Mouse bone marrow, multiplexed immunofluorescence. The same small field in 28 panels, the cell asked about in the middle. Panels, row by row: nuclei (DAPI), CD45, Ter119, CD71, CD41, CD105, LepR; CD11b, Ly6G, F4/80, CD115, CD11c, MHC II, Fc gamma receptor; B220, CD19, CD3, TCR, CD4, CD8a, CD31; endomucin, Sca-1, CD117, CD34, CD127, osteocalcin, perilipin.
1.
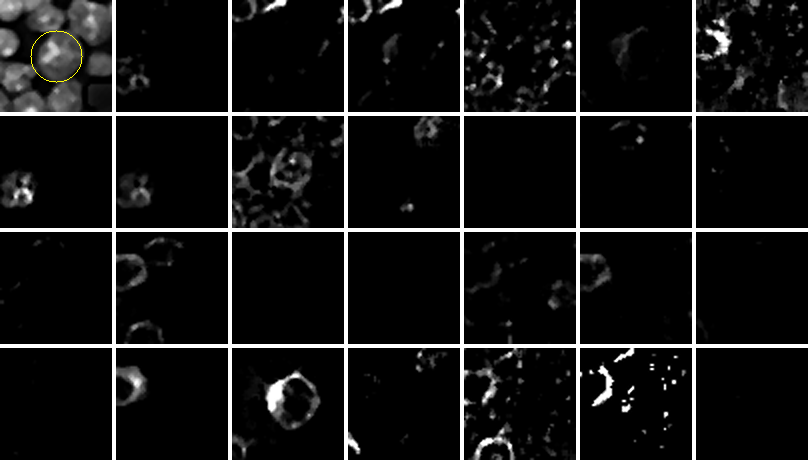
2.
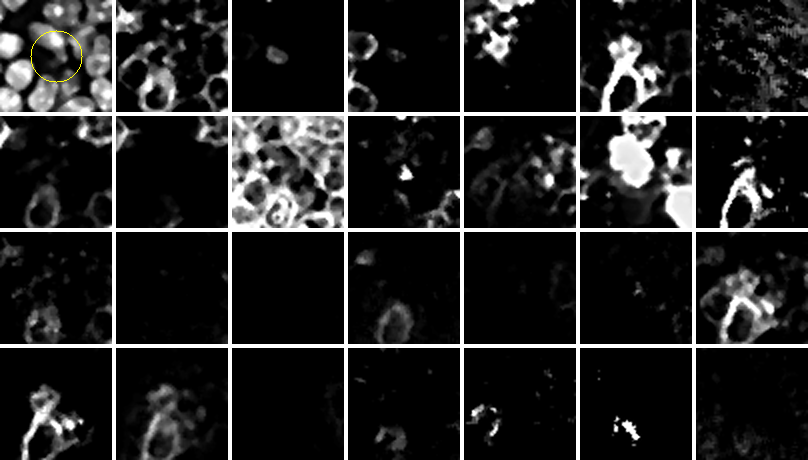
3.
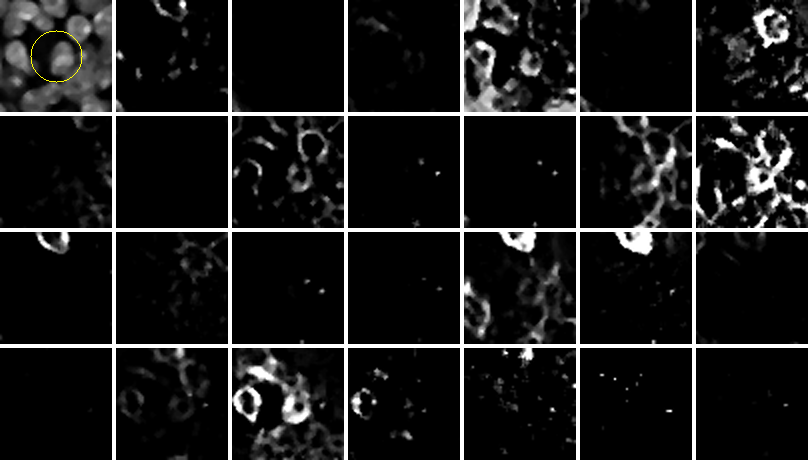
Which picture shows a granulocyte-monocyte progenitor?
Picture 3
